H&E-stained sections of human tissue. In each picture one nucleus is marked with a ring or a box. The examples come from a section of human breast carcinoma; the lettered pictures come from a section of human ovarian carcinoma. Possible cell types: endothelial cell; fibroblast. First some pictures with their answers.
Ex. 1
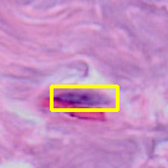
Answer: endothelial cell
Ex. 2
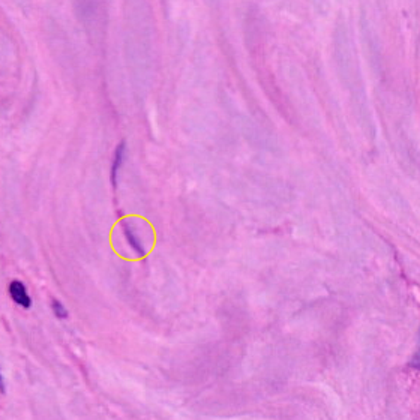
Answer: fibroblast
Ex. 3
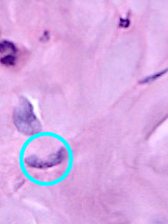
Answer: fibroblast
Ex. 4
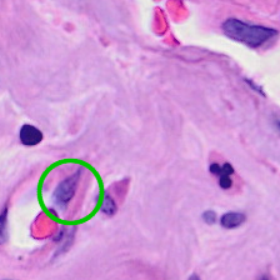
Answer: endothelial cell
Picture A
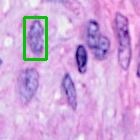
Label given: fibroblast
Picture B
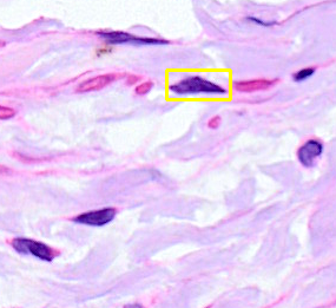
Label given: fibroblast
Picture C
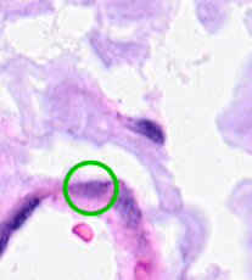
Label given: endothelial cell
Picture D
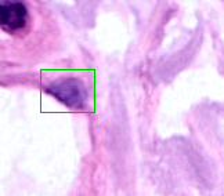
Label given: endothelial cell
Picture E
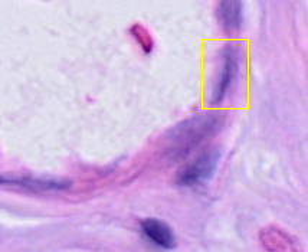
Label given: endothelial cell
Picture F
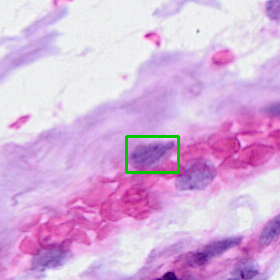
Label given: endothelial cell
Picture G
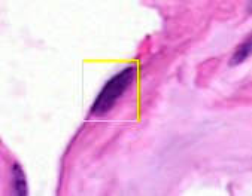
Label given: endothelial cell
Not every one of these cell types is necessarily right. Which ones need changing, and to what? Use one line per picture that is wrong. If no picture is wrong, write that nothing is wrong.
Nothing to fix; every label fits.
